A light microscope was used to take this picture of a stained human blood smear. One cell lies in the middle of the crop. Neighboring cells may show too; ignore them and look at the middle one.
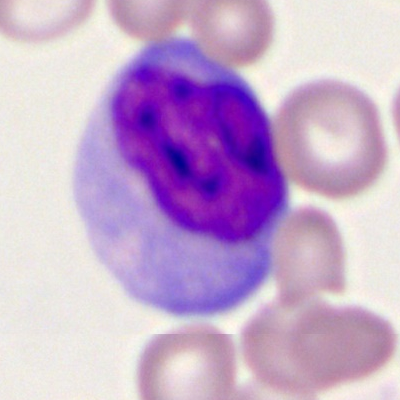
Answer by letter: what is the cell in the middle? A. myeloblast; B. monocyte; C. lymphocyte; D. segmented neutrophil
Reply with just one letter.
B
